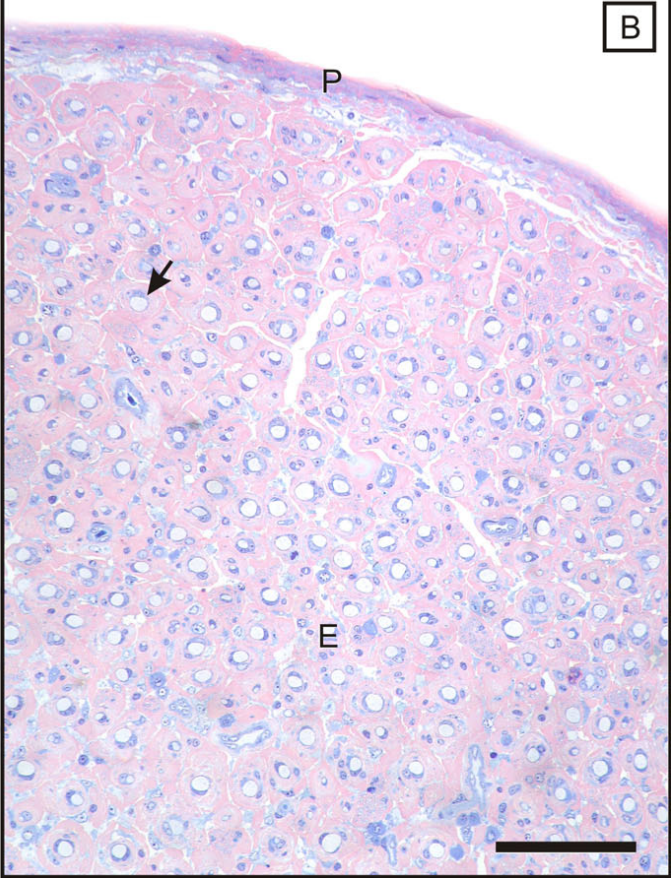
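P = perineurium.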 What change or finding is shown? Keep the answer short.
An expansion of the eosinophilic extracellular matrix of the endoneurial sheath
